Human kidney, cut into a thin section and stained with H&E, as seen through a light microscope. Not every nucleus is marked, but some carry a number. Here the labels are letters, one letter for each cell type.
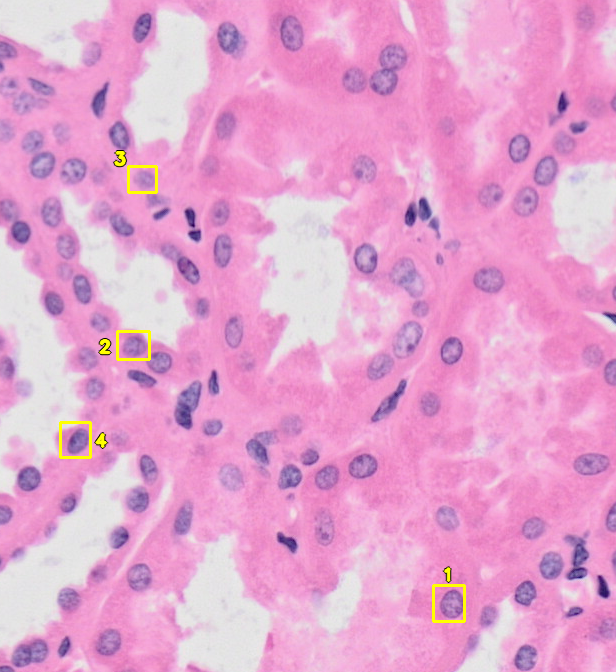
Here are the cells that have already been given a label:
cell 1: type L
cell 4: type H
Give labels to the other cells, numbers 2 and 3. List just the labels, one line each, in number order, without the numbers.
type H
type H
